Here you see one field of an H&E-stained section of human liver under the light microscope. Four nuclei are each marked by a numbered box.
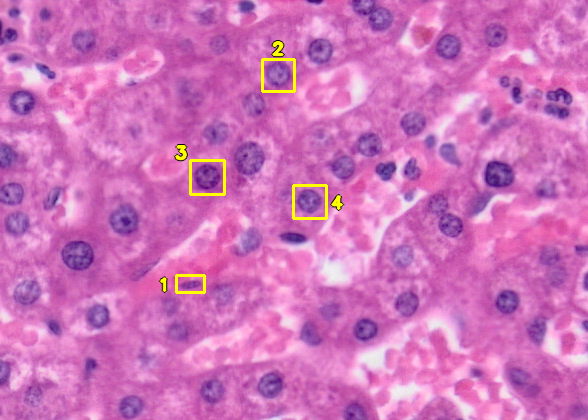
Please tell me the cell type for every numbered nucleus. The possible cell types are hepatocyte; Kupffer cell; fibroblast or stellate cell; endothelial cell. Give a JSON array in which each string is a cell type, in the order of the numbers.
["fibroblast or stellate cell", "hepatocyte", "hepatocyte", "hepatocyte"]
